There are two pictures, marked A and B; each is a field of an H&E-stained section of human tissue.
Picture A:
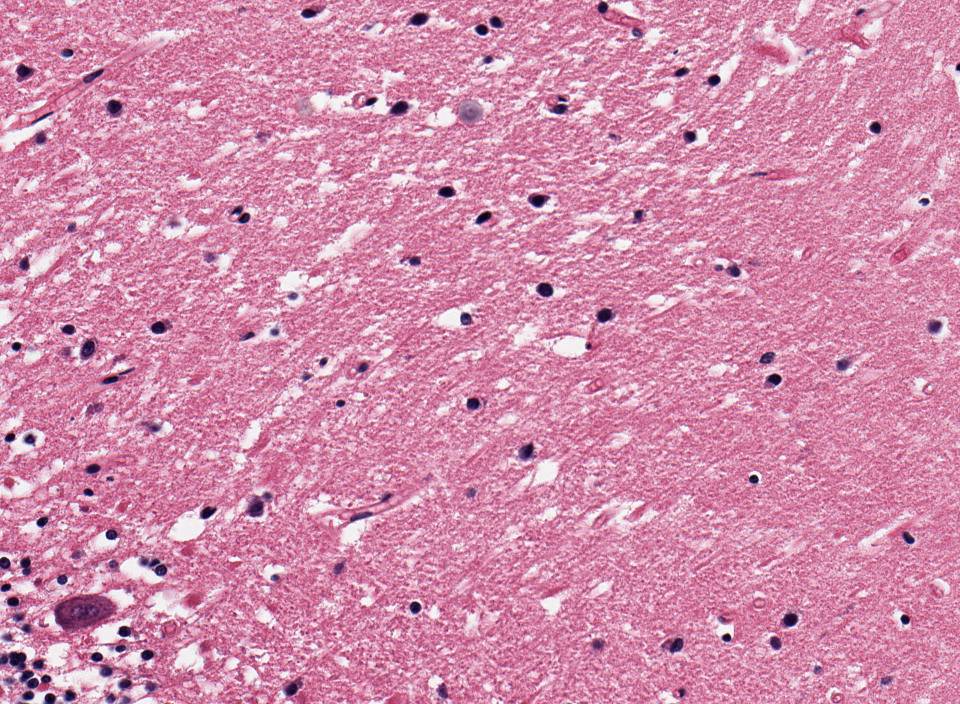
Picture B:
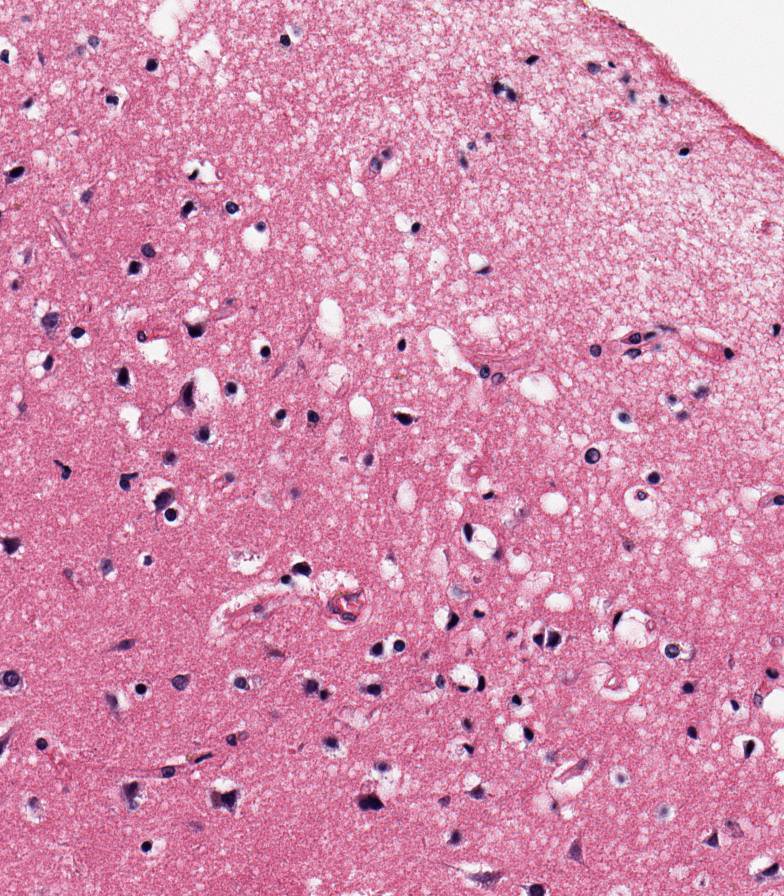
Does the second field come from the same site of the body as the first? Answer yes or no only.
no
